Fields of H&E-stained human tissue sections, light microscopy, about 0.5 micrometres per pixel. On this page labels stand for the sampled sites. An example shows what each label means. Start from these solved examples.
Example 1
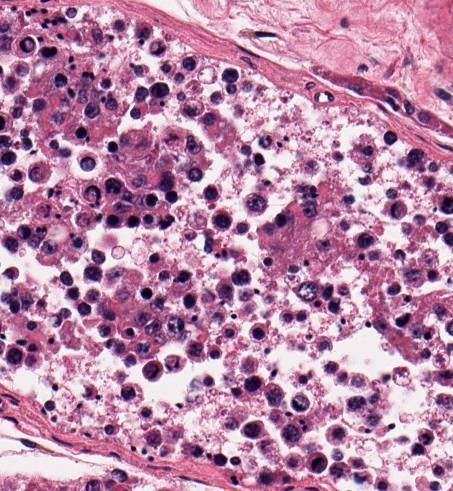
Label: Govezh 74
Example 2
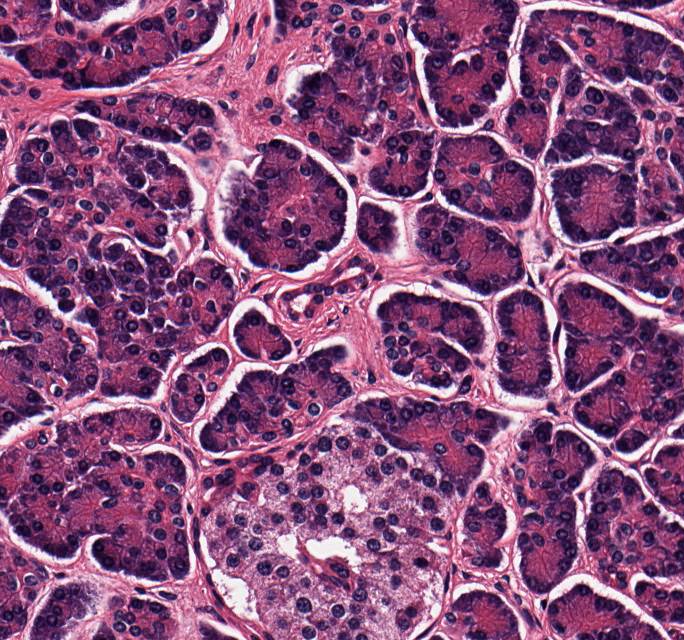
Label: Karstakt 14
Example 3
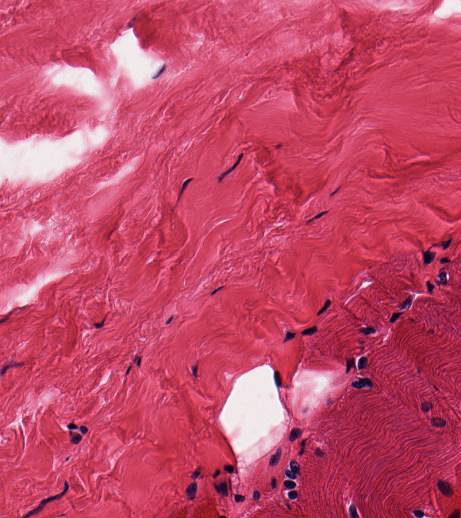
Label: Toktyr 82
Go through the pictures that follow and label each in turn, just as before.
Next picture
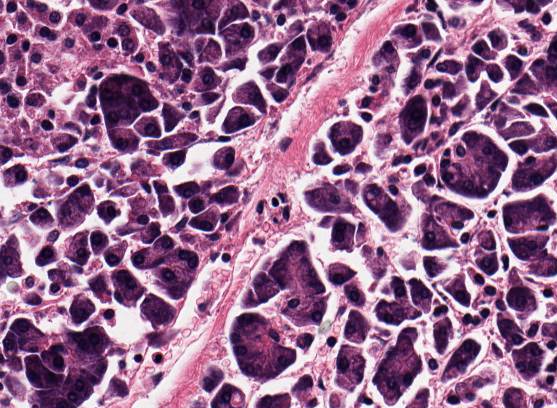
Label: Karstakt 14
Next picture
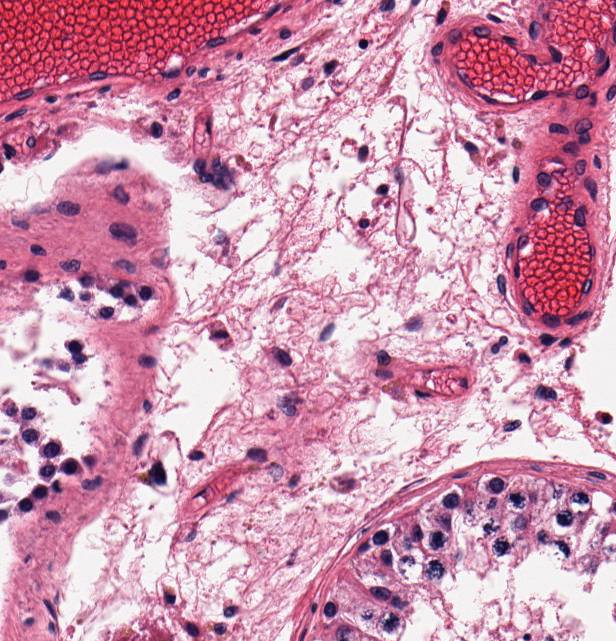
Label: Govezh 74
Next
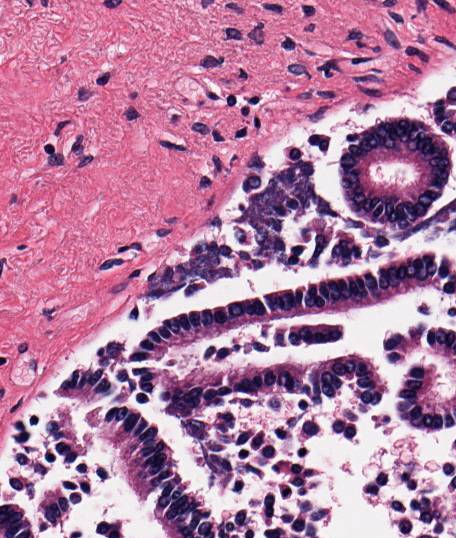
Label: Karstakt 14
